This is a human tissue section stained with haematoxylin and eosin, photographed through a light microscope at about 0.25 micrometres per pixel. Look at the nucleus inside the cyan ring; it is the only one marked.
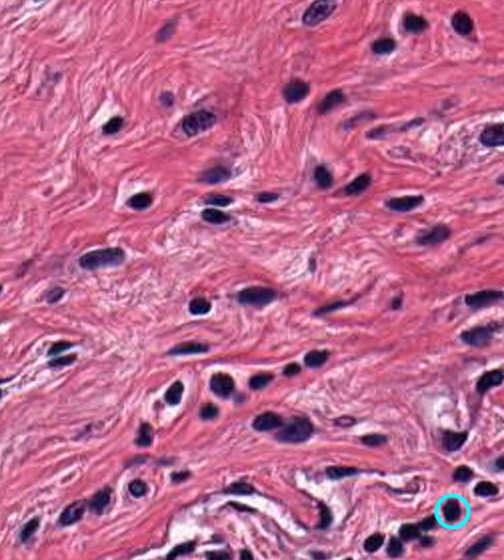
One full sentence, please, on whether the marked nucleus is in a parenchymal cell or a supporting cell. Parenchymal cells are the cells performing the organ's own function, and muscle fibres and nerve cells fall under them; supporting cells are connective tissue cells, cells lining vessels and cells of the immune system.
Housed within a supporting cell is the marked nucleus.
